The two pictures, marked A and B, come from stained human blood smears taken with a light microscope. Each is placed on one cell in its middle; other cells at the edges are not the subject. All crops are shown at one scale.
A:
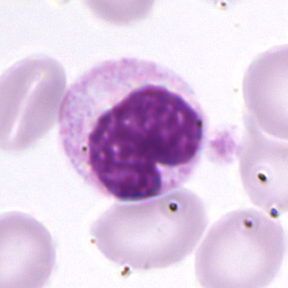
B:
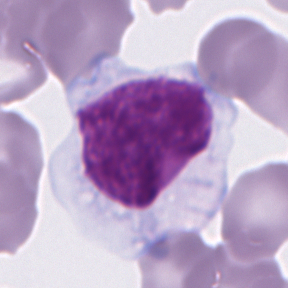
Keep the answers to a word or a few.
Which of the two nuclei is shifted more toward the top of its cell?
B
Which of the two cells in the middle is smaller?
A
